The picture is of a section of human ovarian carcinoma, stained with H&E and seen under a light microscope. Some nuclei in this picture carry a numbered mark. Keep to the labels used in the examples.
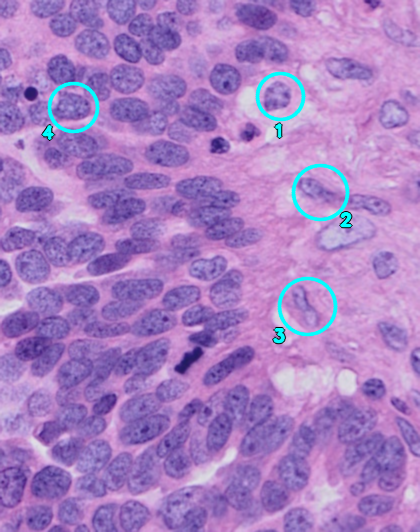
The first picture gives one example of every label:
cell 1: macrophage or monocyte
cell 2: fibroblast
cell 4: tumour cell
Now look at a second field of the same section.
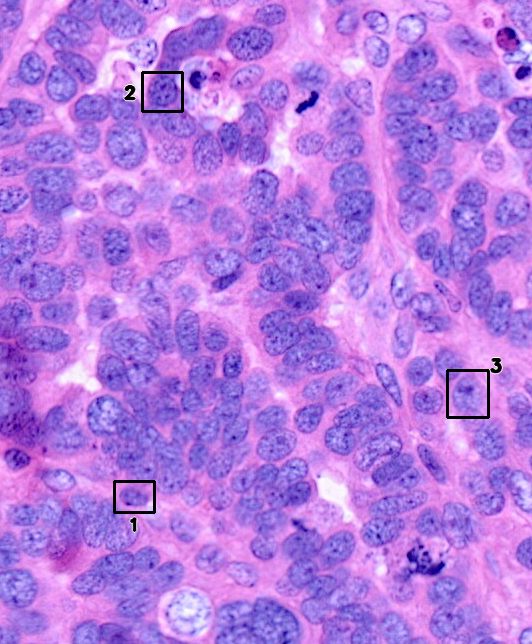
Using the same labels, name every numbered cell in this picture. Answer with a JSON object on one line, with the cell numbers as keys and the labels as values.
{"1": "macrophage or monocyte", "2": "tumour cell", "3": "tumour cell"}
